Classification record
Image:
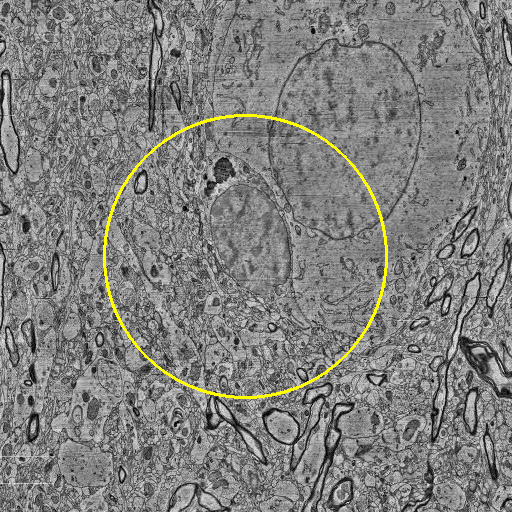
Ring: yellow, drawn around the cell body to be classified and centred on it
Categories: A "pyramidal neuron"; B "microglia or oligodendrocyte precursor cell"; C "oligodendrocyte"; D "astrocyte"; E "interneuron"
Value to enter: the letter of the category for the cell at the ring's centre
C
